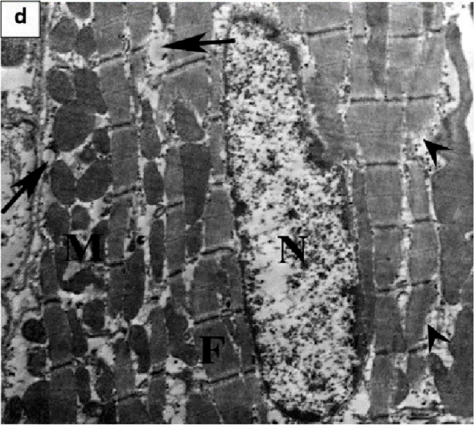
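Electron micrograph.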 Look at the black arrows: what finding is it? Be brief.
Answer: vacuoles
